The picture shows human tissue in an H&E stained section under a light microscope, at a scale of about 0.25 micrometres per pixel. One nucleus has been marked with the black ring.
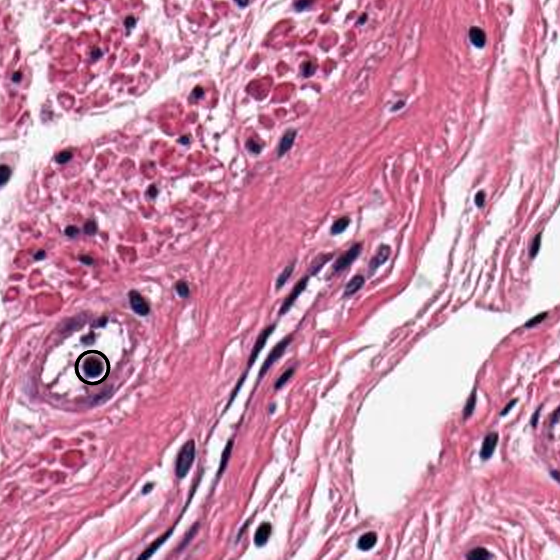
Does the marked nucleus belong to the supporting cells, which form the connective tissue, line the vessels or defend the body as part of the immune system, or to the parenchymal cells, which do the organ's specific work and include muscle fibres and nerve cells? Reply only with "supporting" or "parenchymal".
supporting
